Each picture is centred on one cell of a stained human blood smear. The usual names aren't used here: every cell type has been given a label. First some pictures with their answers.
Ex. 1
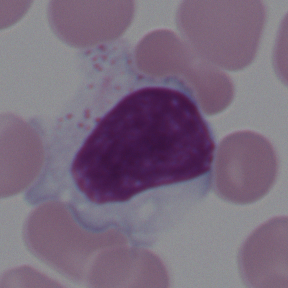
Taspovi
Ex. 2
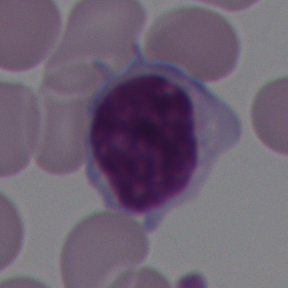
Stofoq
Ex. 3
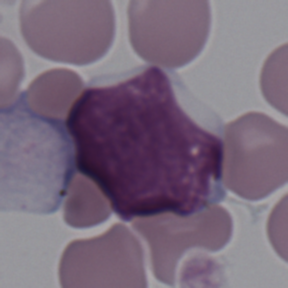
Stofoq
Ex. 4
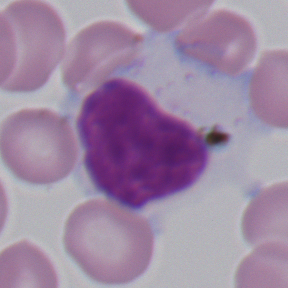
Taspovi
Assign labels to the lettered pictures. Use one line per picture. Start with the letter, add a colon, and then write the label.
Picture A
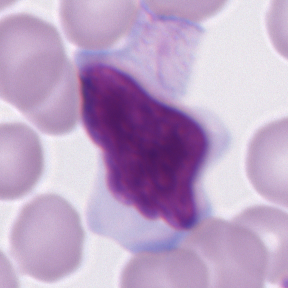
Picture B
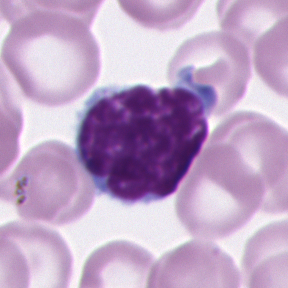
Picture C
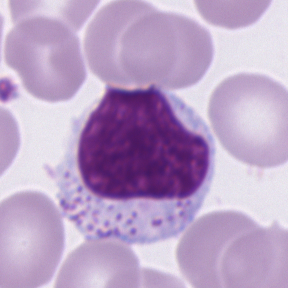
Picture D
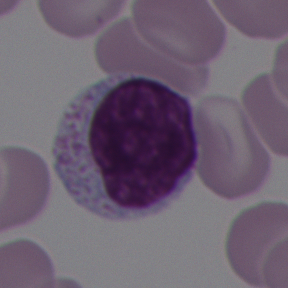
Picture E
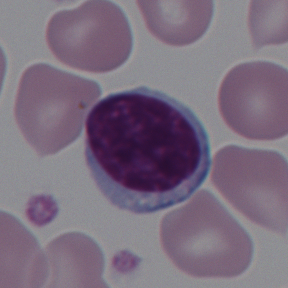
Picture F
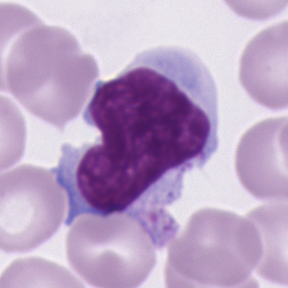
A: Taspovi
B: Stofoq
C: Taspovi
D: Taspovi
E: Stofoq
F: Taspovi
